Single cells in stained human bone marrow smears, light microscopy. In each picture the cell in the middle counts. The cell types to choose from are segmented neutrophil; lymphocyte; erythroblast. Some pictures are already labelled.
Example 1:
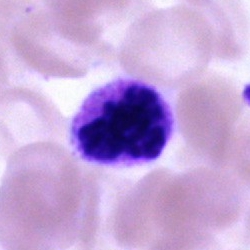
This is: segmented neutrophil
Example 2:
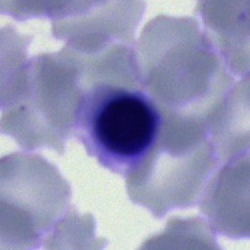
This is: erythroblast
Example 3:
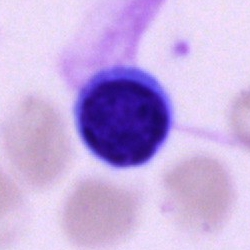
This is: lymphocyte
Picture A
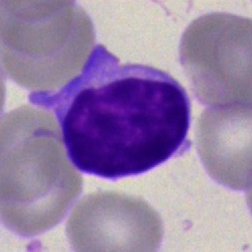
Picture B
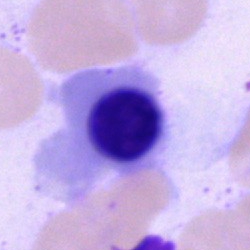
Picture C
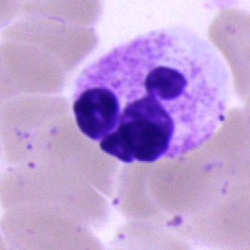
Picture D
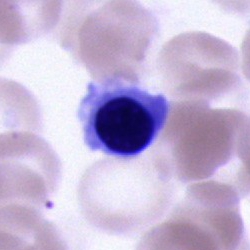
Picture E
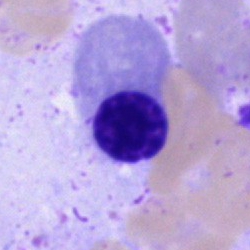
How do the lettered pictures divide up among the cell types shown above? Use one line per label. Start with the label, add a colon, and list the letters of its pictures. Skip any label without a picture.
segmented neutrophil: C
lymphocyte: A
erythroblast: B, D, E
